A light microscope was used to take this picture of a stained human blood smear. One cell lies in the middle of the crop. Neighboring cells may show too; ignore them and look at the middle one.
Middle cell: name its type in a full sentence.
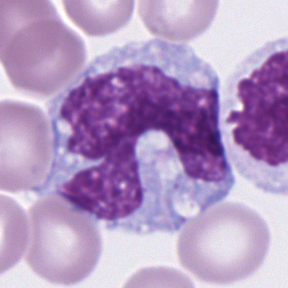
Answering briefly, the cell in the middle is a monocyte.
